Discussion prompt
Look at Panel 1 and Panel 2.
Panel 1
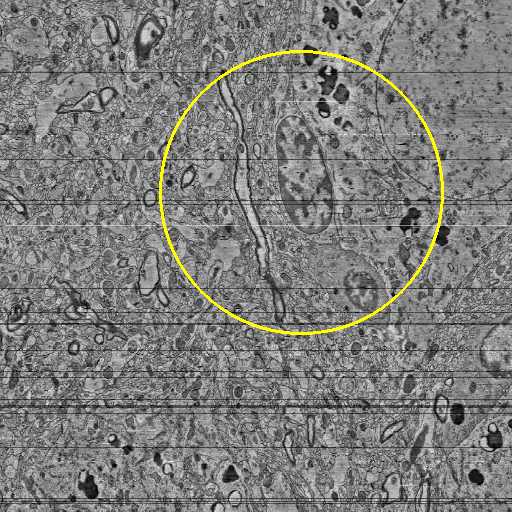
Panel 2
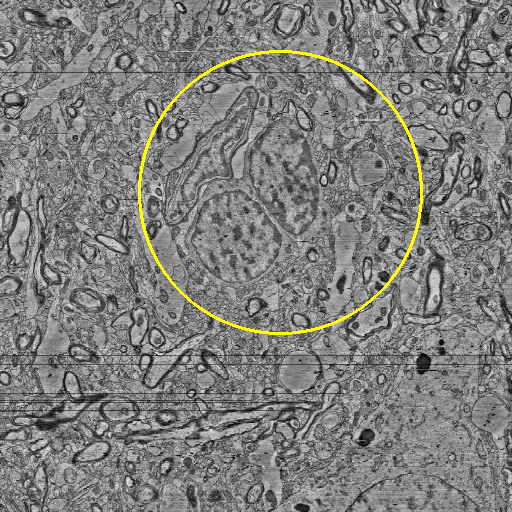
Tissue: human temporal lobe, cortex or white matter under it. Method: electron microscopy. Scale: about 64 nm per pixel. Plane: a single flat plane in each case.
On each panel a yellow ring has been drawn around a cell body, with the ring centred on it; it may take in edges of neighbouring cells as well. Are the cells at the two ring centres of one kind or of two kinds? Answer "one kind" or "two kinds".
two kinds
